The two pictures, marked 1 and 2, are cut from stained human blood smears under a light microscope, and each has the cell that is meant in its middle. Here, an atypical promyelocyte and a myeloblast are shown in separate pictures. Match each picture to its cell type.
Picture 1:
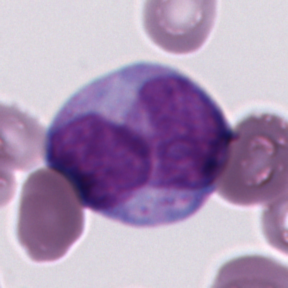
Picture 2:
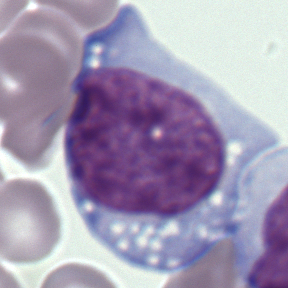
1: atypical promyelocyte
2: myeloblast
